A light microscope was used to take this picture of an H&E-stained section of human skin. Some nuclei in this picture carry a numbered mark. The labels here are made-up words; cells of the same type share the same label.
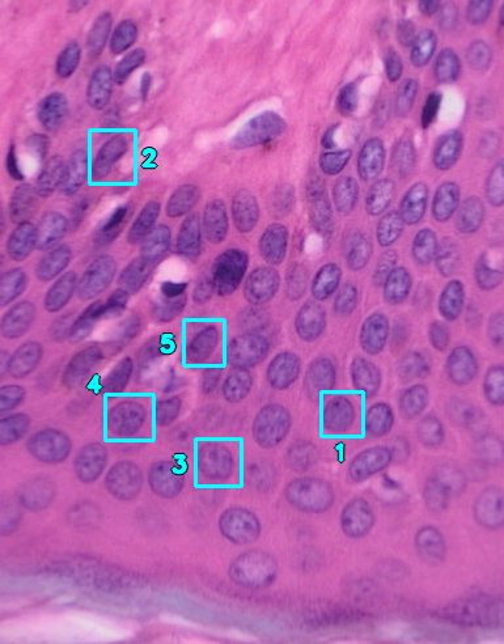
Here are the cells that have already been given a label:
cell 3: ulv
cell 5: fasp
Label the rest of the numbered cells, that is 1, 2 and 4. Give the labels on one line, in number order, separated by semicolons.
ulv; fasp; ulv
